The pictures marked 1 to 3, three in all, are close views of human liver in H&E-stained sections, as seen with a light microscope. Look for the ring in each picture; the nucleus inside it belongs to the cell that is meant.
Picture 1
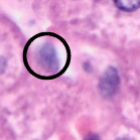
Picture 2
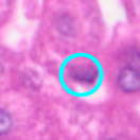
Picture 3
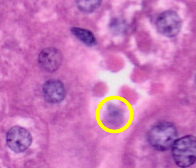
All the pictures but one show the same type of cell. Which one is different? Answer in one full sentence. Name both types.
Picture 1 differs, because its cell is an endothelial cell and the rest are Kupffer cells.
